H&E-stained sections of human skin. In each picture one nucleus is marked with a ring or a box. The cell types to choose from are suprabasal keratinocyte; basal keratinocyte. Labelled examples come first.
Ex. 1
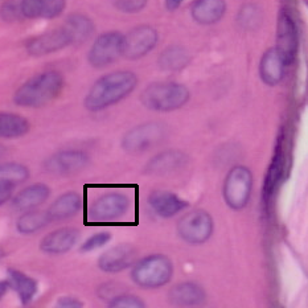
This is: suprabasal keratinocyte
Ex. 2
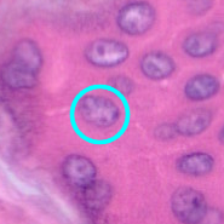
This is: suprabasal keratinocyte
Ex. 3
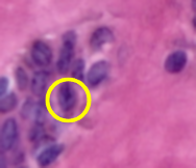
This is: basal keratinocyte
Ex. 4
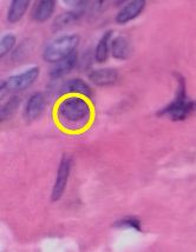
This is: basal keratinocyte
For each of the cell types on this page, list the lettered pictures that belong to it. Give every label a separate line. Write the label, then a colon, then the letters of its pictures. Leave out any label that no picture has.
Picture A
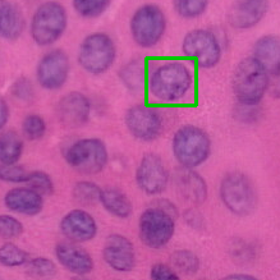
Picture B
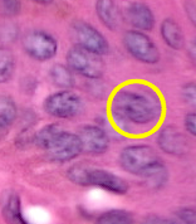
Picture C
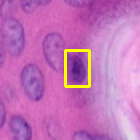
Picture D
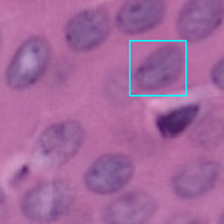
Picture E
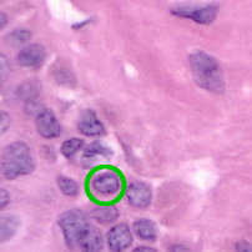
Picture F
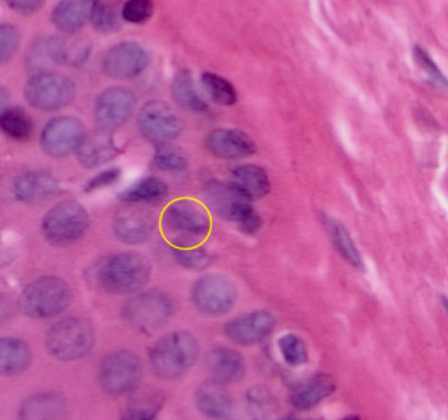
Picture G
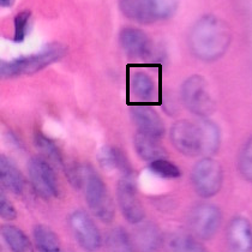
suprabasal keratinocyte: A, B, C, D
basal keratinocyte: E, F, G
